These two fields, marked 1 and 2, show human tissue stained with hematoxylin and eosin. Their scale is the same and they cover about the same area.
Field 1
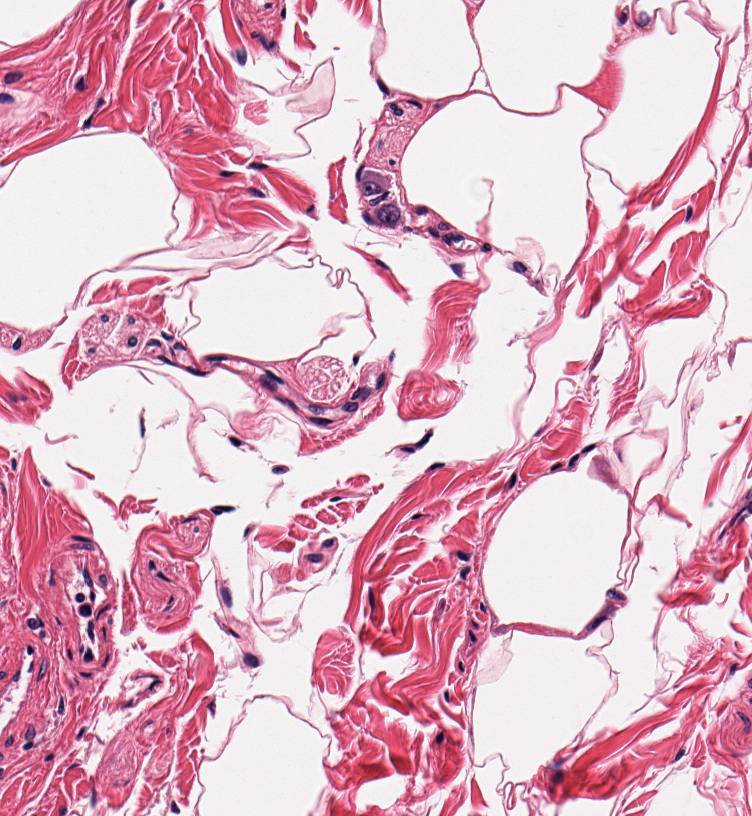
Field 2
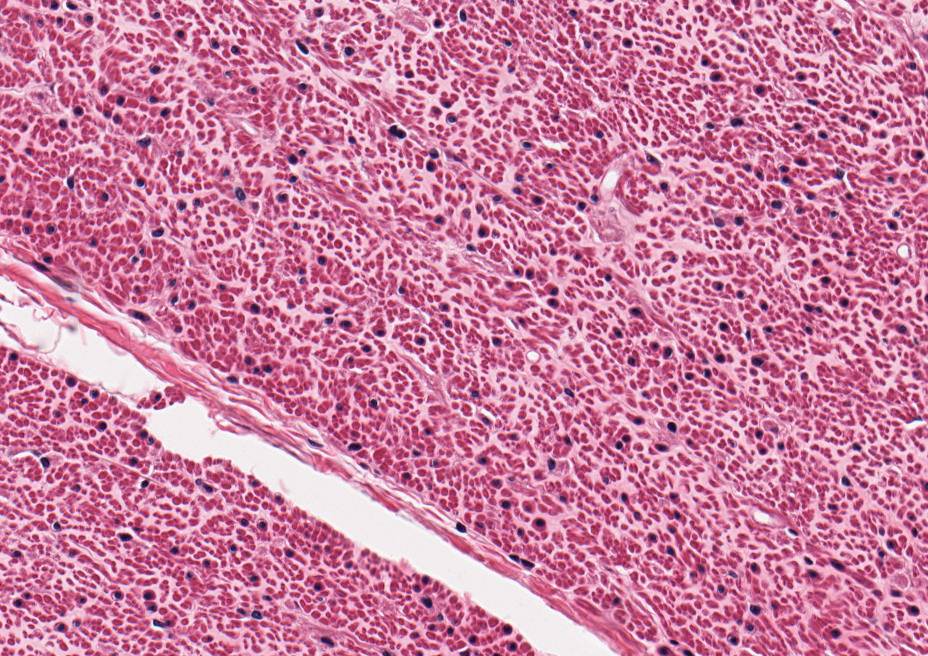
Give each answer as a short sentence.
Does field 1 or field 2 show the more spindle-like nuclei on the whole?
On the whole the nuclei of field 1 are more drawn out than those of field 2.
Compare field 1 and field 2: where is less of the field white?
It is field 2 that stained tissue fills more completely.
